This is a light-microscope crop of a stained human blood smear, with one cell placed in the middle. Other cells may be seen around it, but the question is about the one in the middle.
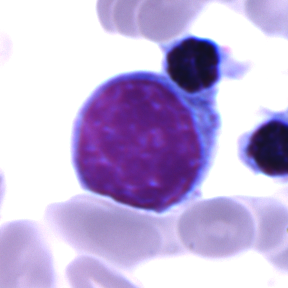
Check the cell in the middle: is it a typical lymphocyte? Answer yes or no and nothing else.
yes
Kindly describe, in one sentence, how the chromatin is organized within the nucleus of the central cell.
The chromatin here is fine and lacks any coarse clumps.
